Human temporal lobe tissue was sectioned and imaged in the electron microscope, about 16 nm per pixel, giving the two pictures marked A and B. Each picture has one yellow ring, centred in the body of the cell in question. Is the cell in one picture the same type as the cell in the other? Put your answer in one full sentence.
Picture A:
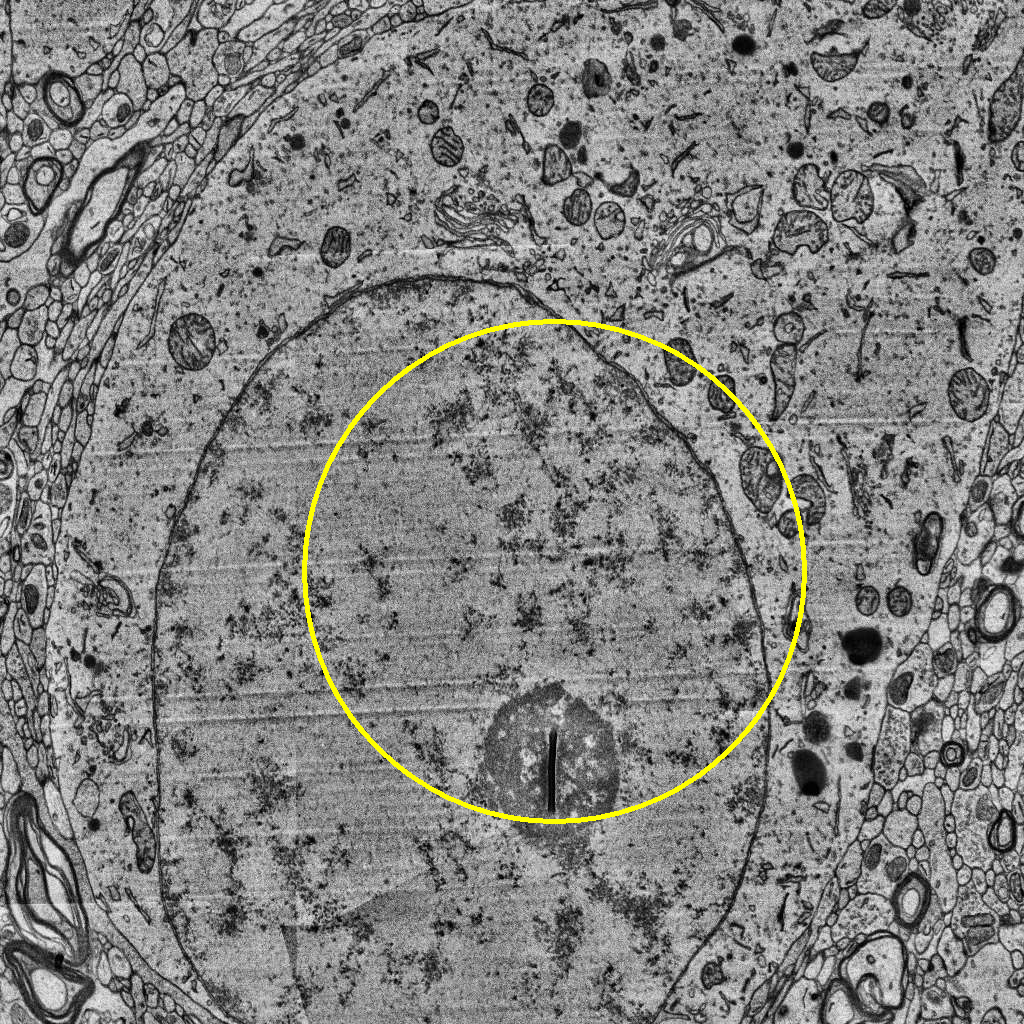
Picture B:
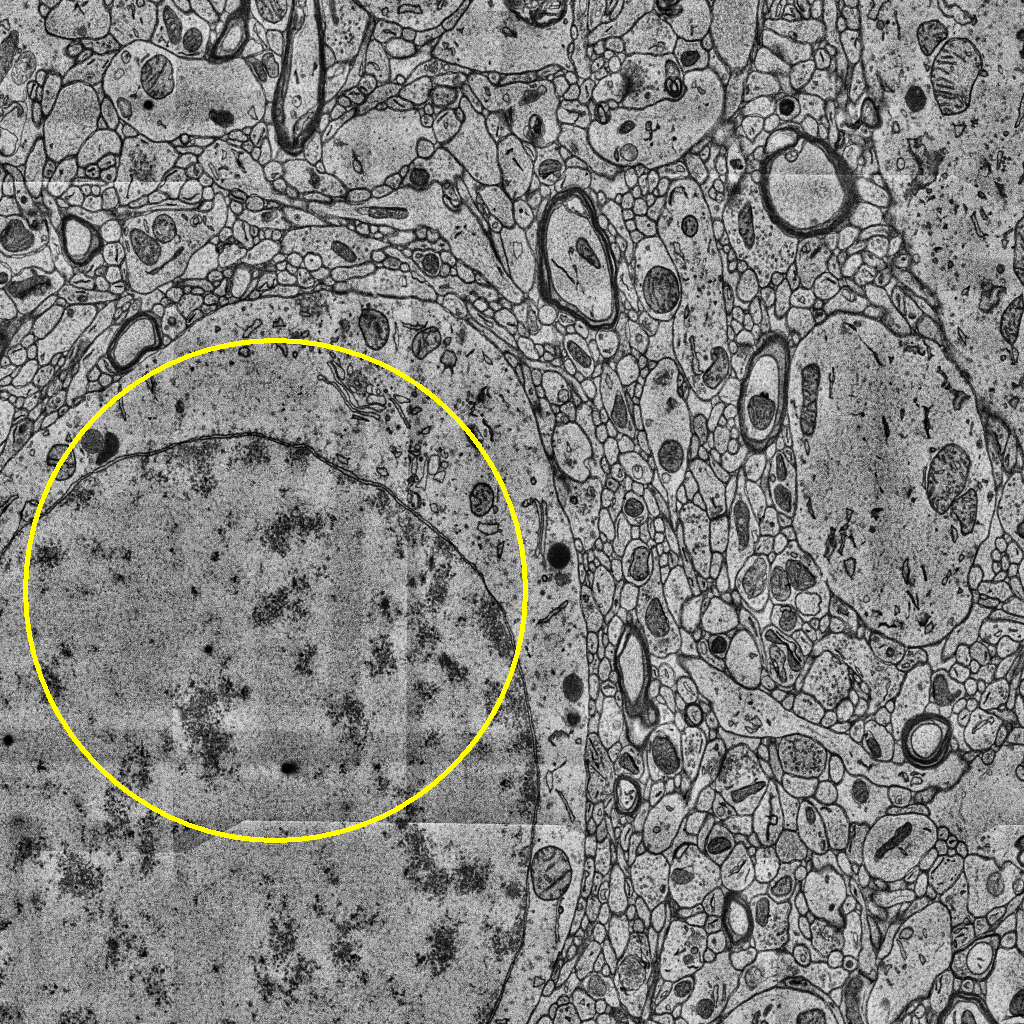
Yes, they are the same type: both are pyramidal neurons.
